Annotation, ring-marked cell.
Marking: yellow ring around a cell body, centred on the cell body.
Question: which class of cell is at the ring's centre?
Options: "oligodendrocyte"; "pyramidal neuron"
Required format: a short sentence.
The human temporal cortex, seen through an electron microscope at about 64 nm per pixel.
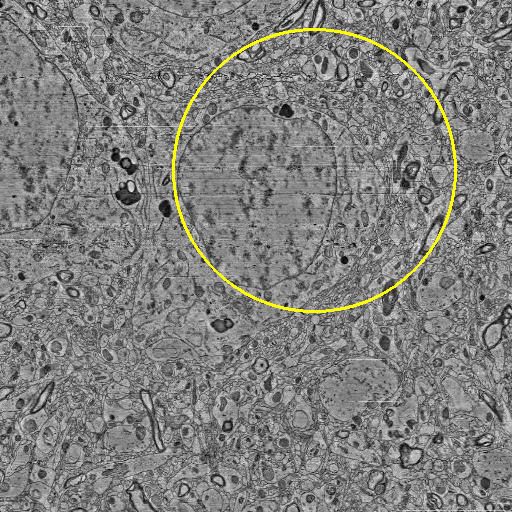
At the ring's centre is a pyramidal neuron.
